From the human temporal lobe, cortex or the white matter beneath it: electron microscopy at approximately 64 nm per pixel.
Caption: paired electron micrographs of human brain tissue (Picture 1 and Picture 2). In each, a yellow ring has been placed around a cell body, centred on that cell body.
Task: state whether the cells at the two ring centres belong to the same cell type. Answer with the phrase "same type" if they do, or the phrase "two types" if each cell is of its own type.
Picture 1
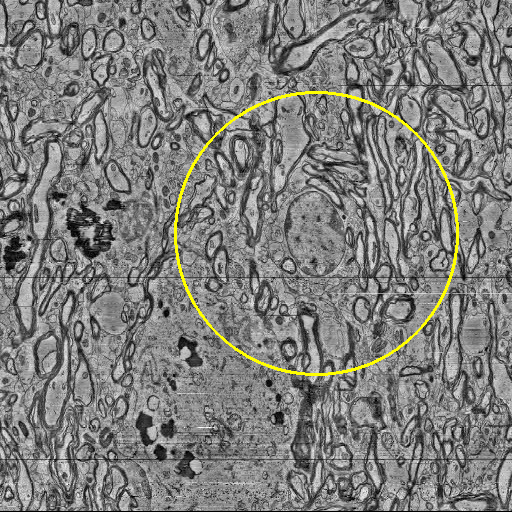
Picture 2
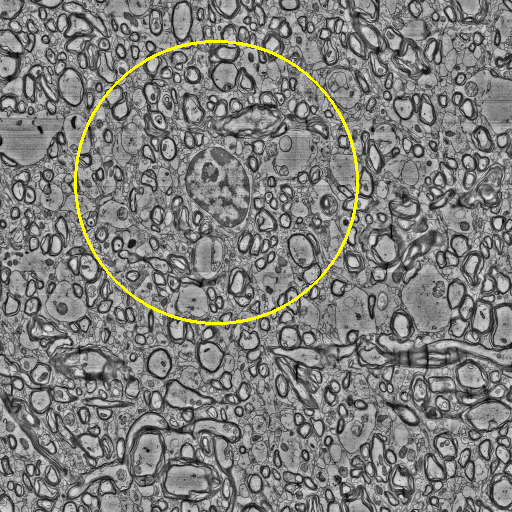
same type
